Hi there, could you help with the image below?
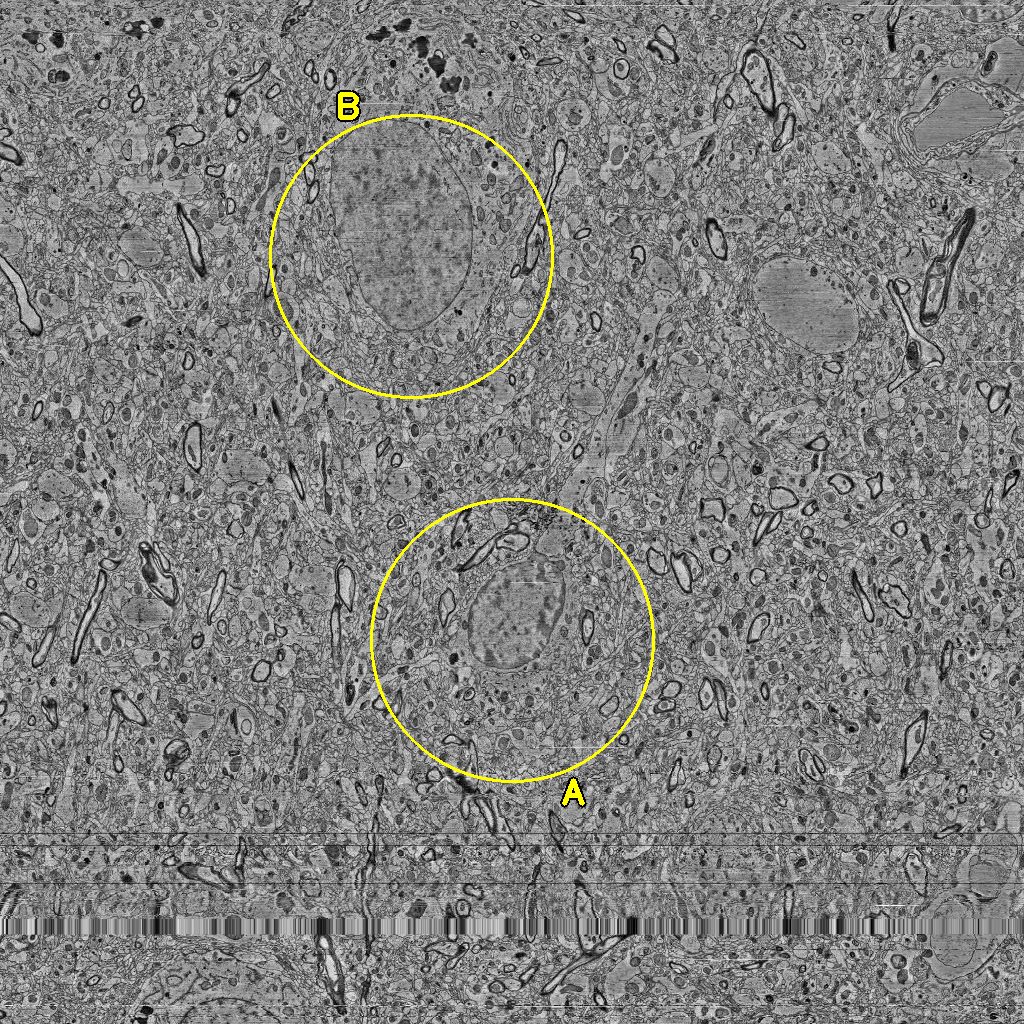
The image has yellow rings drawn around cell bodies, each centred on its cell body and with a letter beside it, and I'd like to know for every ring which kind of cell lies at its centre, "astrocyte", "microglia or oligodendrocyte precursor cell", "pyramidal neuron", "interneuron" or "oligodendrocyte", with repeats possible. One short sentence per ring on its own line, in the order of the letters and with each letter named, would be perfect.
Ring A is placed around an oligodendrocyte.
Ring B is placed around an interneuron.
